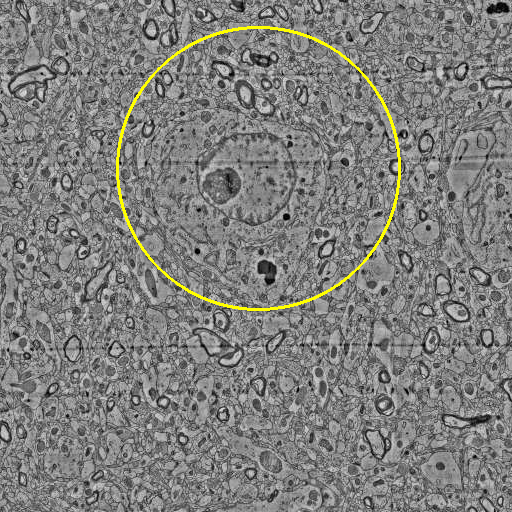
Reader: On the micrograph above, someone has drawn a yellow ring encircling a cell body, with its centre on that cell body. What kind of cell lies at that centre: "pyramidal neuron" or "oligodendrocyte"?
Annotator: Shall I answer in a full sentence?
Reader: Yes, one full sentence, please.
Here a pyramidal neuron sits at the centre of the yellow ring drawn on the micrograph.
